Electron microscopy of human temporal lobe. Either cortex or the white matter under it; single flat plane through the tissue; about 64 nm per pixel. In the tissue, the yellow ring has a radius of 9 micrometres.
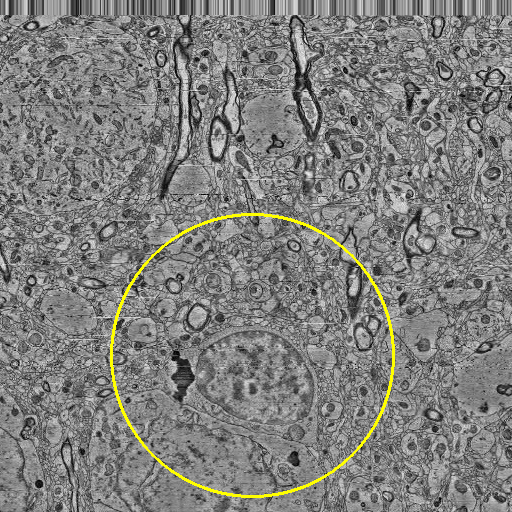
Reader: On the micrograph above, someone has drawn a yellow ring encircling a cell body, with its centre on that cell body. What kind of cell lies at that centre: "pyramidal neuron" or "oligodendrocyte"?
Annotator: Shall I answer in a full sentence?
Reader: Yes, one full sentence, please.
Here an oligodendrocyte sits at the centre of the yellow ring drawn on the micrograph.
